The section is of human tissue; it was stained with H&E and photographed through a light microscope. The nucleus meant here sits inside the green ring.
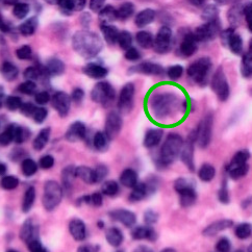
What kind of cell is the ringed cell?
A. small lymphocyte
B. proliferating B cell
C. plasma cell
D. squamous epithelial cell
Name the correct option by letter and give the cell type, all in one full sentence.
Looking at the options, pick B; the ringed cell is a proliferating B cell.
